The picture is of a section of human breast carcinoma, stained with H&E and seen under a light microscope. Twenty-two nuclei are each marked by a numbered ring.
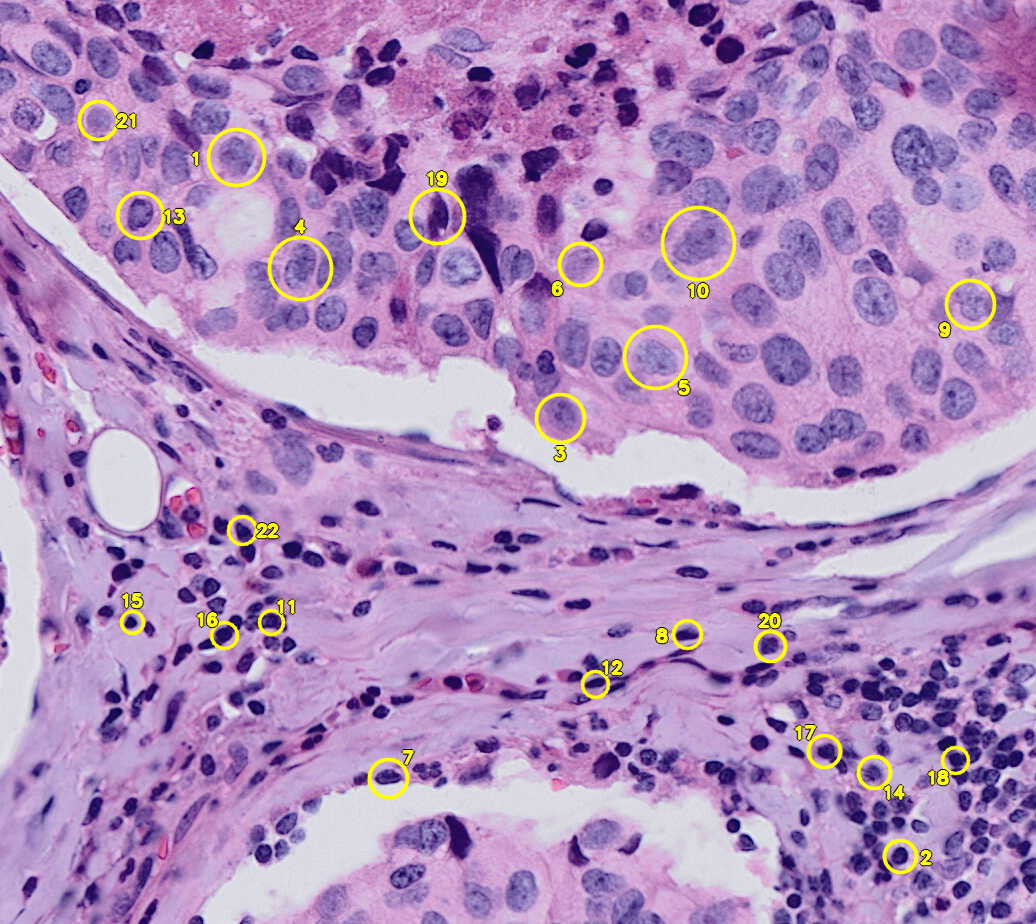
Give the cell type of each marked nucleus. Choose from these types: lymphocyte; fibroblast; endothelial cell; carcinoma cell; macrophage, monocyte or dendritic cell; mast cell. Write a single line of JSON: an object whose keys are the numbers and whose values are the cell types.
{"1": "carcinoma cell", "2": "lymphocyte", "3": "carcinoma cell", "4": "carcinoma cell", "5": "carcinoma cell", "6": "carcinoma cell", "7": "lymphocyte", "8": "lymphocyte", "9": "carcinoma cell", "10": "carcinoma cell", "11": "lymphocyte", "12": "lymphocyte", "13": "carcinoma cell", "14": "lymphocyte", "15": "lymphocyte", "16": "lymphocyte", "17": "lymphocyte", "18": "lymphocyte", "19": "carcinoma cell", "20": "lymphocyte", "21": "carcinoma cell", "22": "lymphocyte"}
